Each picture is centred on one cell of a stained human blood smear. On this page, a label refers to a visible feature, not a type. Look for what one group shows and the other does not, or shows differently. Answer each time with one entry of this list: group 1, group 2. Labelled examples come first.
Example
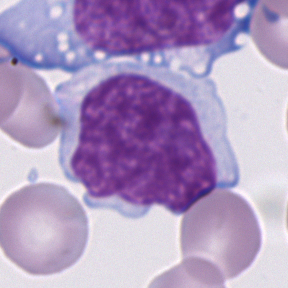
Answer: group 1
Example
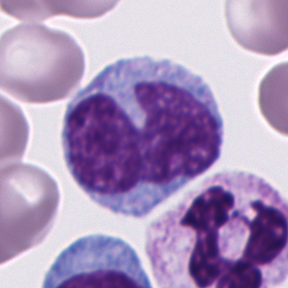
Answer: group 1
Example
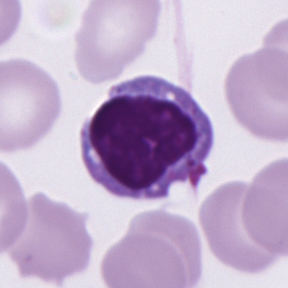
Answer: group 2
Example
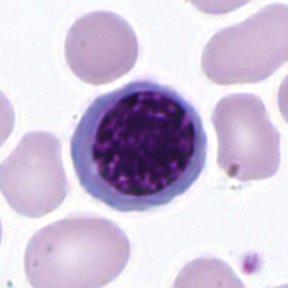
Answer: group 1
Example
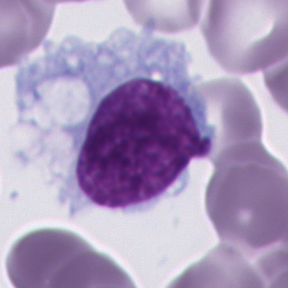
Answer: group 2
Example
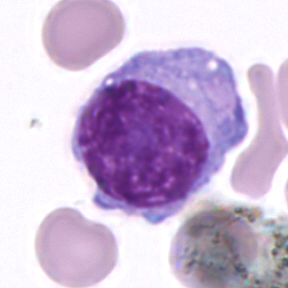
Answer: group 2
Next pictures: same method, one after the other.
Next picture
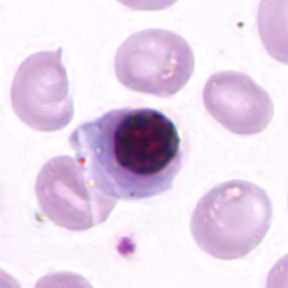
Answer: group 1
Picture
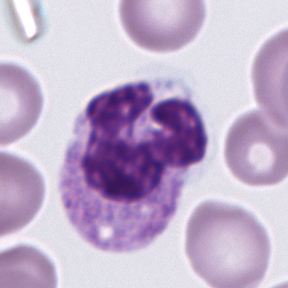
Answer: group 2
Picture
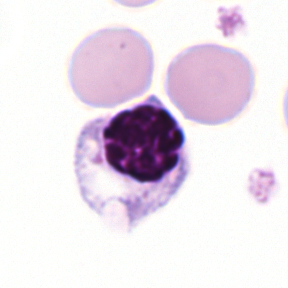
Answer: group 2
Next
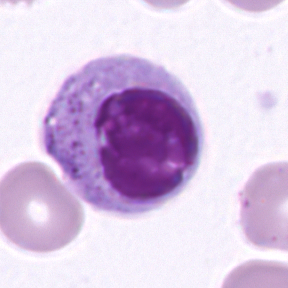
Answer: group 1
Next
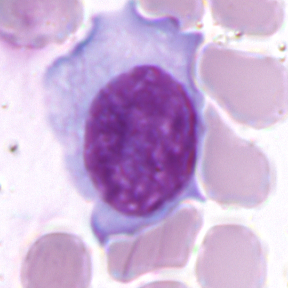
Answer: group 1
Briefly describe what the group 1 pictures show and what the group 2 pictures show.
group 1: no vacuoles; group 2: vacuoles present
